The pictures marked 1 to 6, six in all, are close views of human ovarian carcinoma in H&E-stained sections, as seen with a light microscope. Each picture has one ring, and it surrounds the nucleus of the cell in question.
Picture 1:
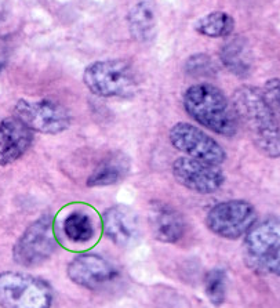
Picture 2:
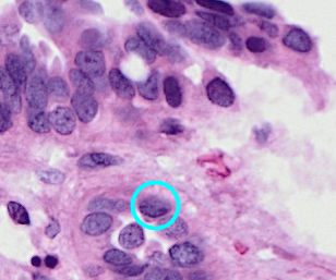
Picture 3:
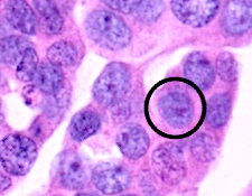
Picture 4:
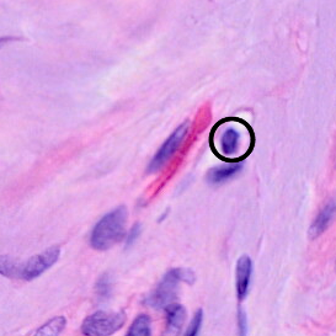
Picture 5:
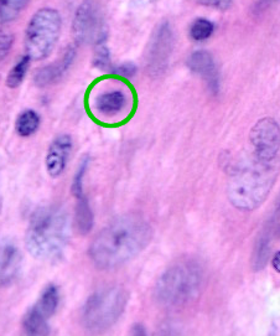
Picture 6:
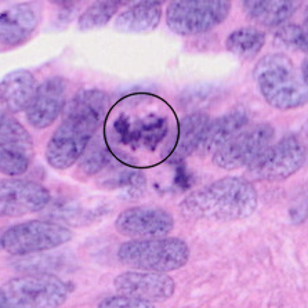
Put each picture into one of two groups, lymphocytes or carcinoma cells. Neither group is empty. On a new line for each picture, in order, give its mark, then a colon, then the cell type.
1: lymphocyte
2: carcinoma cell
3: carcinoma cell
4: lymphocyte
5: lymphocyte
6: carcinoma cell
